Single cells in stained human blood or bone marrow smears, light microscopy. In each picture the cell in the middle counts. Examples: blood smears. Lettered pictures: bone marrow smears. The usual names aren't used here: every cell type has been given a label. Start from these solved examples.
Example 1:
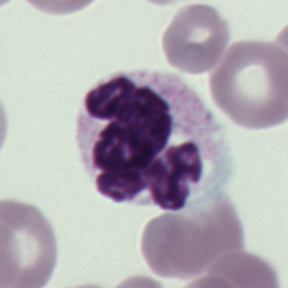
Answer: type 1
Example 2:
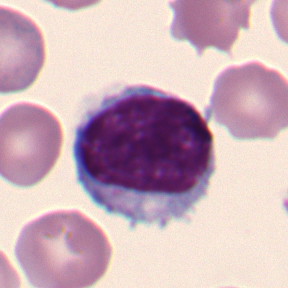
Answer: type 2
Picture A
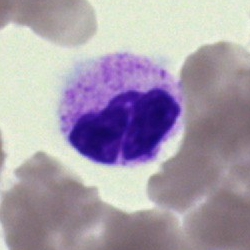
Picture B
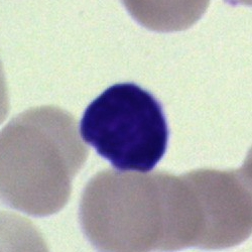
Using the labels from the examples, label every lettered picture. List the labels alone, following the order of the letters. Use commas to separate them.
type 1, type 2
